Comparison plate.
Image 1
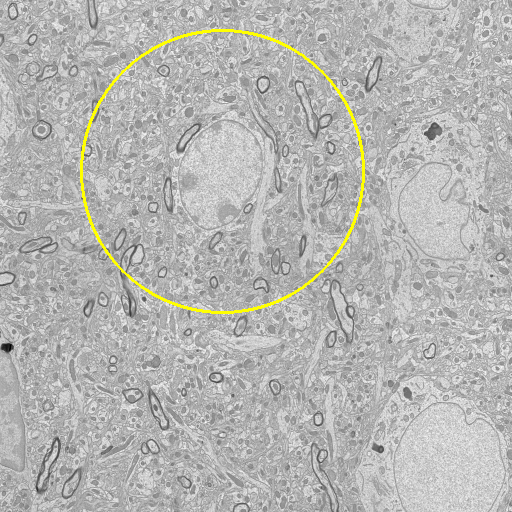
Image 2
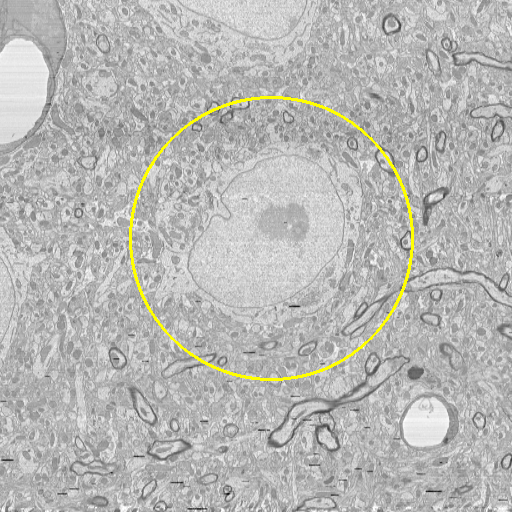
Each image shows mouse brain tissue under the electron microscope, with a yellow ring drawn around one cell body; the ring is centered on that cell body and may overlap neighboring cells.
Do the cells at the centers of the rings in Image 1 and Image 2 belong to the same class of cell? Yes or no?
no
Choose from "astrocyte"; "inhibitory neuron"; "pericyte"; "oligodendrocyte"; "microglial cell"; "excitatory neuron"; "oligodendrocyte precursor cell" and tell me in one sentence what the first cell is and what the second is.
What the first ring is centred on is an astrocyte; what the second ring is centred on is an excitatory neuron.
